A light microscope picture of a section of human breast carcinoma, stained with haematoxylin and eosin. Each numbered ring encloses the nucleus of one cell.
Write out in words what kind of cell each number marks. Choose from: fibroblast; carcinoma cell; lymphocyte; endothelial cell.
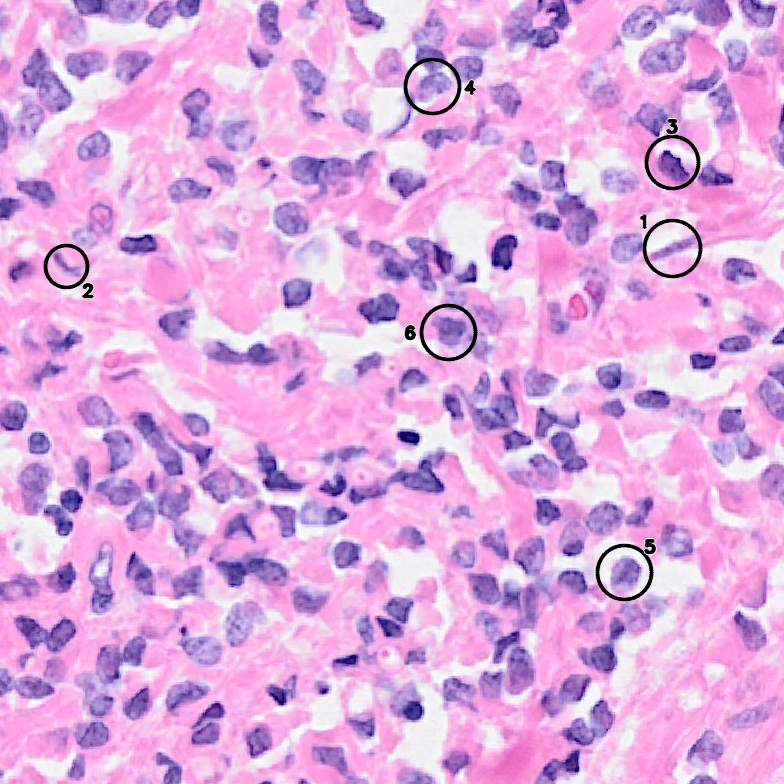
Cells 1 and 2 are fibroblasts. Cells 3, 4, 5 and 6 are carcinoma cells.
